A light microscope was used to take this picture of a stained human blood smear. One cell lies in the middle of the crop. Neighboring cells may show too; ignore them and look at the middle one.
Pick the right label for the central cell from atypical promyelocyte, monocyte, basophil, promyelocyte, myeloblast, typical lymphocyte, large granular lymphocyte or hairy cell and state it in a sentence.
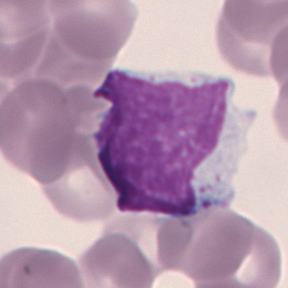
In short, the cell at the center is a large granular lymphocyte.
